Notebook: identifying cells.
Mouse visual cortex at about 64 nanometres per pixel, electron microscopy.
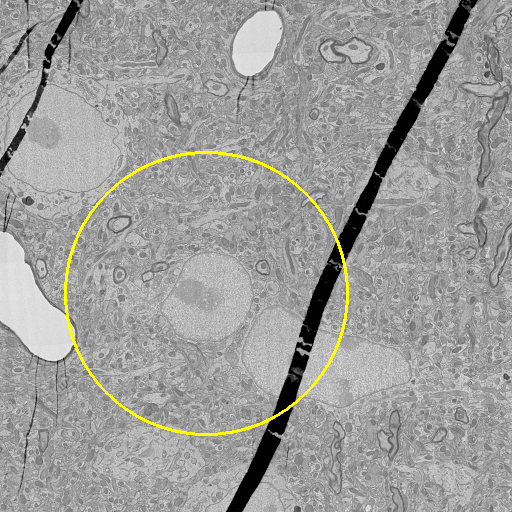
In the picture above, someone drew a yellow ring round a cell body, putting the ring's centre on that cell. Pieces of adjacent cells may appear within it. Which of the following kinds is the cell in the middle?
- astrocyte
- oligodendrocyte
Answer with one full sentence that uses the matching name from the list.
In this picture, the yellow ring is centred on the body of an astrocyte.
